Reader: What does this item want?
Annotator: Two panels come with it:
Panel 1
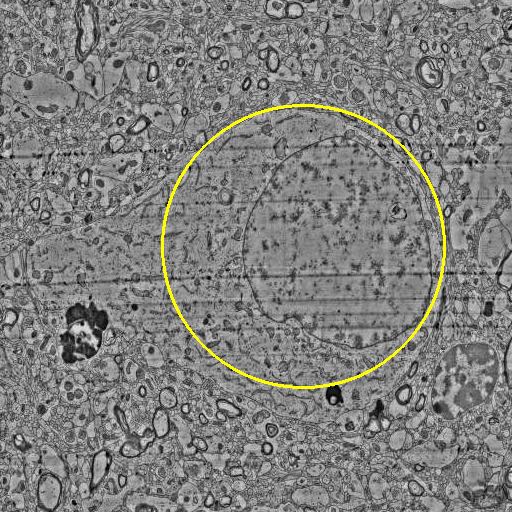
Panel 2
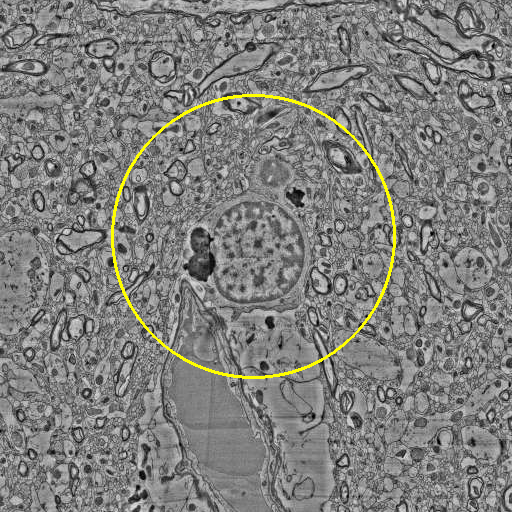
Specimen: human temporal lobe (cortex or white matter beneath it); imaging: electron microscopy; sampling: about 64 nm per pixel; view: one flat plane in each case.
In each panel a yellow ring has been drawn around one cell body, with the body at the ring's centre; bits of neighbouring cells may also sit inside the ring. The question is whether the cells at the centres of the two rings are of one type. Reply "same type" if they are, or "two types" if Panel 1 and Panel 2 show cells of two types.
two types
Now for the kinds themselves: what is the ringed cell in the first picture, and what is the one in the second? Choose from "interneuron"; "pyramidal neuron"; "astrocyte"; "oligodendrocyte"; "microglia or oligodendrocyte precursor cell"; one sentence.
Here the first cell is a pyramidal neuron and the second cell is an oligodendrocyte.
